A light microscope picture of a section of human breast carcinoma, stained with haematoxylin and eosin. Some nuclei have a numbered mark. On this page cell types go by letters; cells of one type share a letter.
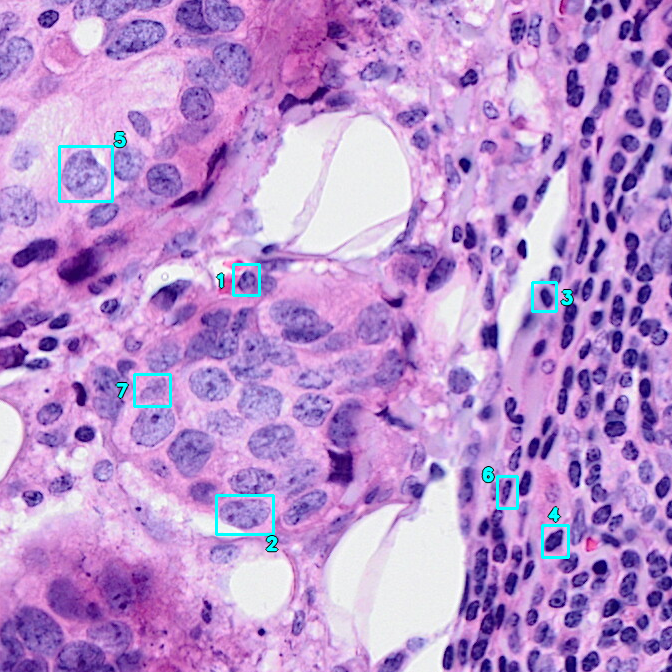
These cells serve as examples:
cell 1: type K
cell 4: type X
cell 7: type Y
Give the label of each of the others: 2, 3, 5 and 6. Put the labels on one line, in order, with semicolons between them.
type Y; type X; type Y; type X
